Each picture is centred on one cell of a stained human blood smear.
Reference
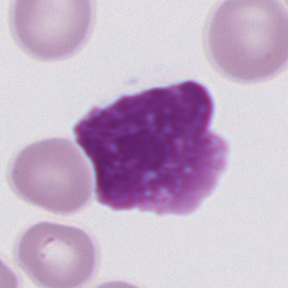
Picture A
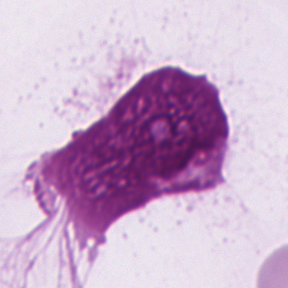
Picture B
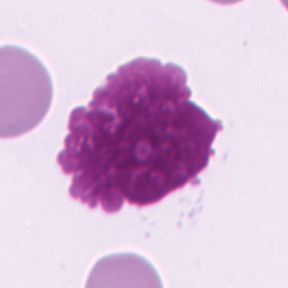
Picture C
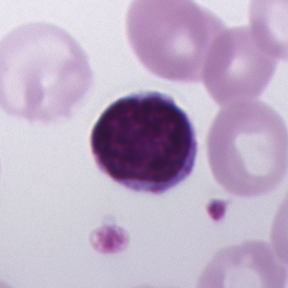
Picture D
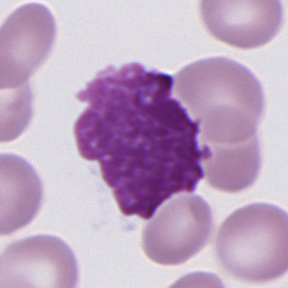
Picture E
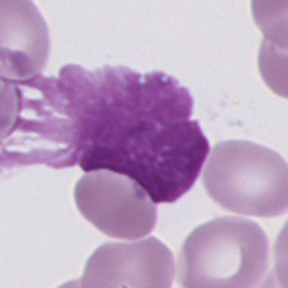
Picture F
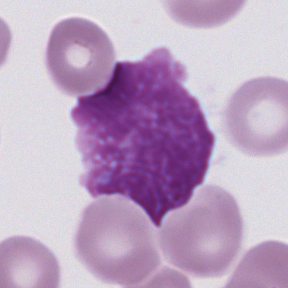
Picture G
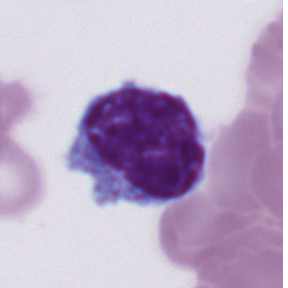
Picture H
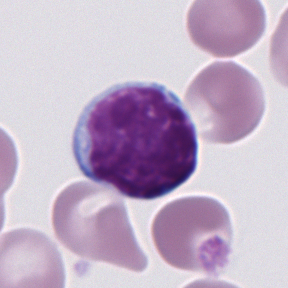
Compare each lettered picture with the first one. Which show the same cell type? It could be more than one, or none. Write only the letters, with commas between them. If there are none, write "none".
A, B, D, E, F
